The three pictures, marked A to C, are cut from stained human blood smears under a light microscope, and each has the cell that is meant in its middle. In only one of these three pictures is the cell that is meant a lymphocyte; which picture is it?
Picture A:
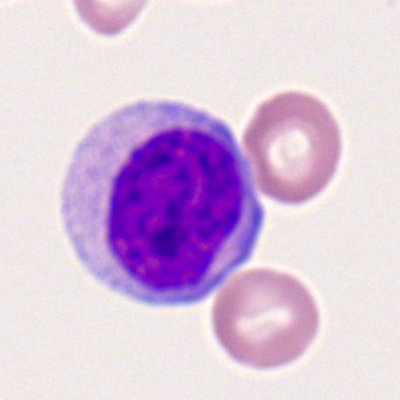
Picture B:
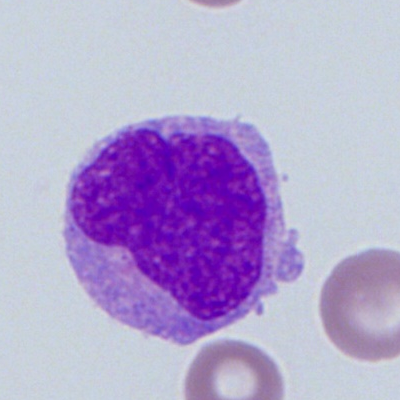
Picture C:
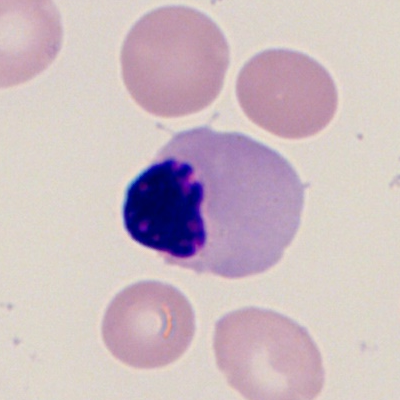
A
